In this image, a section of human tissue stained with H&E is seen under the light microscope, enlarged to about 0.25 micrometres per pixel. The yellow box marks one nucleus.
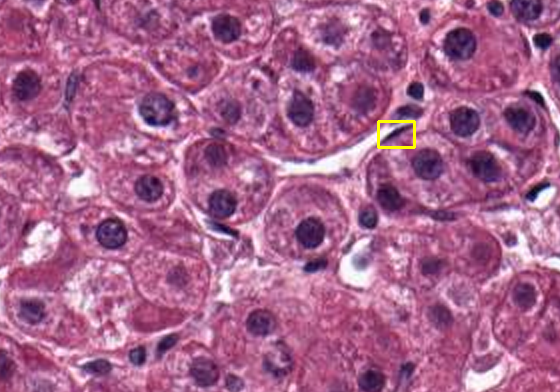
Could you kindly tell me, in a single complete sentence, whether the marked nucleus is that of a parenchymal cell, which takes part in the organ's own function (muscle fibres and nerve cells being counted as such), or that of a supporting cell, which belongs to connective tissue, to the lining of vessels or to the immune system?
The marked nucleus is attributed to a supporting cell.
